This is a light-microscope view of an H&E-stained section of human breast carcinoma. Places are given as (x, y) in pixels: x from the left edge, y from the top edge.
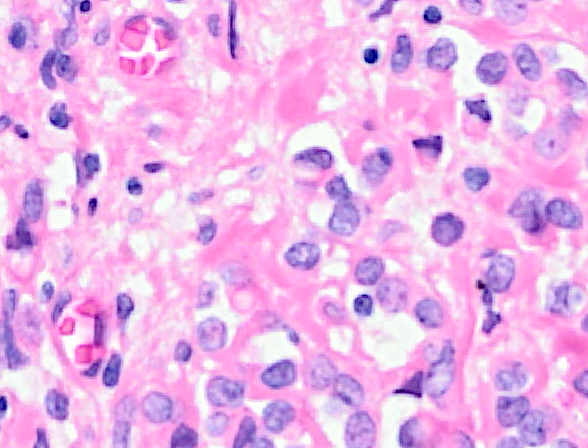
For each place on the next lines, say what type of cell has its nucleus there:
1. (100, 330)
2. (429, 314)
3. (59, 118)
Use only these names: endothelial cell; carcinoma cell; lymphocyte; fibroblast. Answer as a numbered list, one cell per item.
1. endothelial cell
2. carcinoma cell
3. lymphocyte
